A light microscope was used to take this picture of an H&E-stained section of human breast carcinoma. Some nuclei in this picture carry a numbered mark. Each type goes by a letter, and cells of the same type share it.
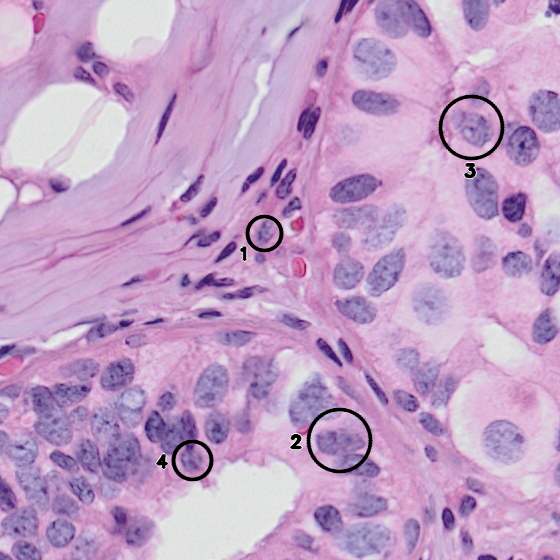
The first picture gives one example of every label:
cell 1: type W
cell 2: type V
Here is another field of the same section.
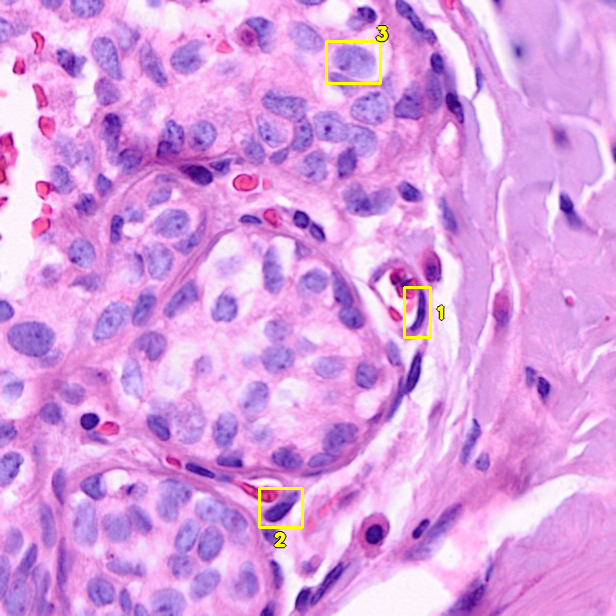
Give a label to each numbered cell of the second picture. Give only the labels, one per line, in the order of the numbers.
type W
type W
type V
